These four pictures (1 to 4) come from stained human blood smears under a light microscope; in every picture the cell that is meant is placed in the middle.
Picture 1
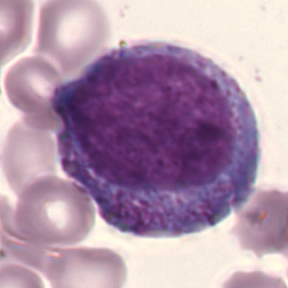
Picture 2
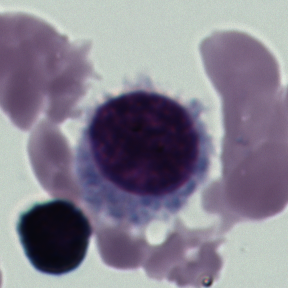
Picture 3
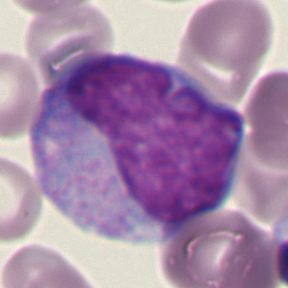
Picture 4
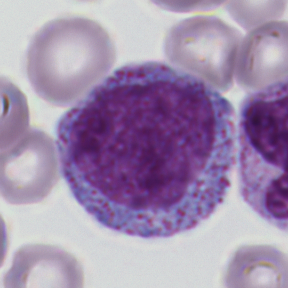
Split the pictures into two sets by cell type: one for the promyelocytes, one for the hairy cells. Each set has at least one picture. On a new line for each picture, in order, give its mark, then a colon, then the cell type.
1: promyelocyte
2: hairy cell
3: promyelocyte
4: promyelocyte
